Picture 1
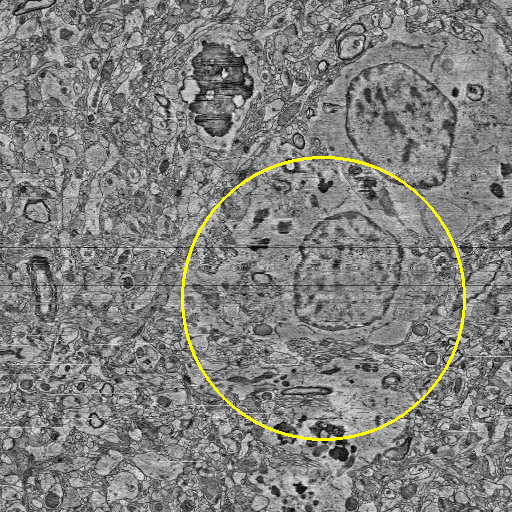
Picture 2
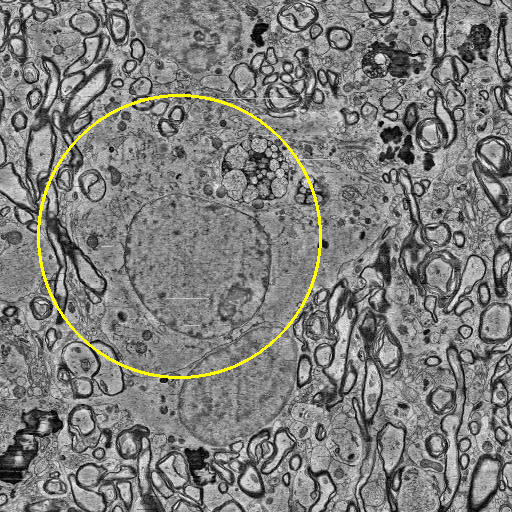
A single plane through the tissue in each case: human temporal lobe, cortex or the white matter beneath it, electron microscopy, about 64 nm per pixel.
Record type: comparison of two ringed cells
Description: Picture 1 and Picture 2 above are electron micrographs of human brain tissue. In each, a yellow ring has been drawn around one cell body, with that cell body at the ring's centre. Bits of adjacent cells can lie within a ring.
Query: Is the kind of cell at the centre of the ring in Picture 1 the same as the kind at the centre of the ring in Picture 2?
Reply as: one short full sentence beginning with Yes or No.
Yes, the two ringed cells are of the same kind.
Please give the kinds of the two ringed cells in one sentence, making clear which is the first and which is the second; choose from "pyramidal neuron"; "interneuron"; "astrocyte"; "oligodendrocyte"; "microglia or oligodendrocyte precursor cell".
The cell in the first picture is an astrocyte, and so is the one in the second.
